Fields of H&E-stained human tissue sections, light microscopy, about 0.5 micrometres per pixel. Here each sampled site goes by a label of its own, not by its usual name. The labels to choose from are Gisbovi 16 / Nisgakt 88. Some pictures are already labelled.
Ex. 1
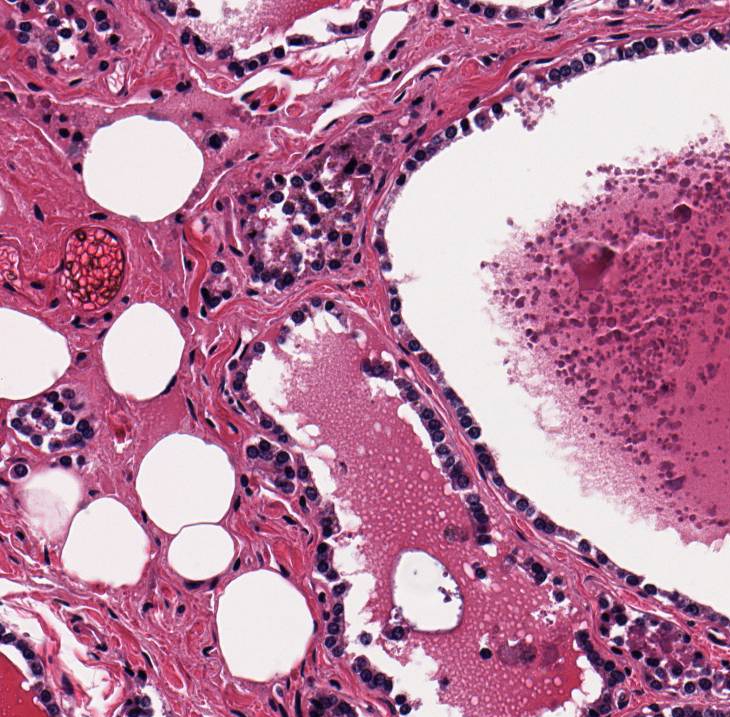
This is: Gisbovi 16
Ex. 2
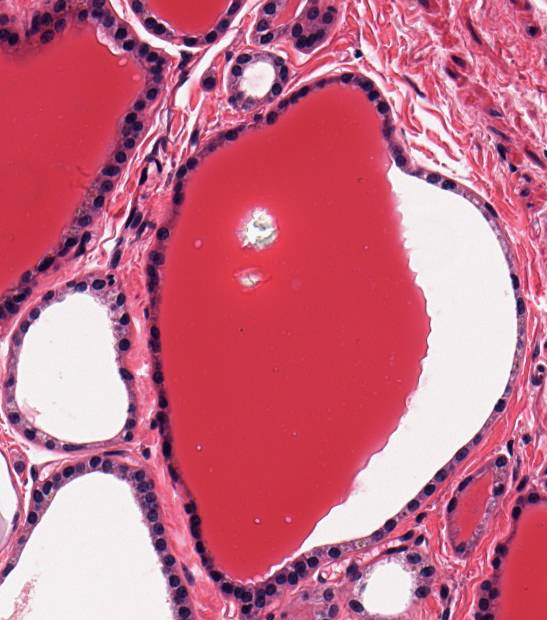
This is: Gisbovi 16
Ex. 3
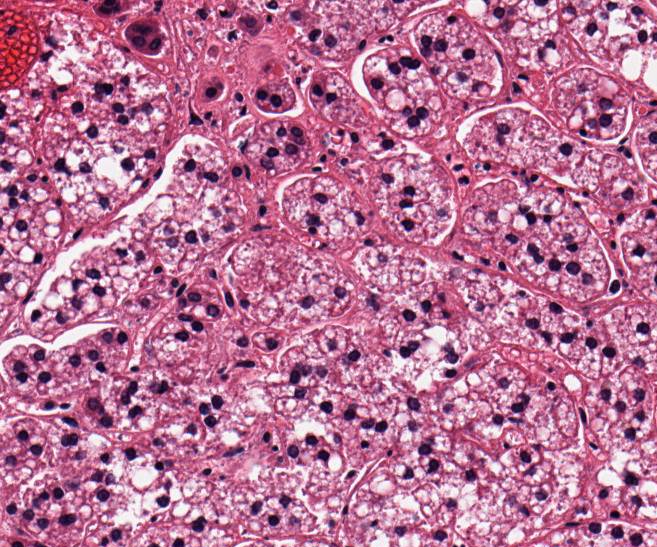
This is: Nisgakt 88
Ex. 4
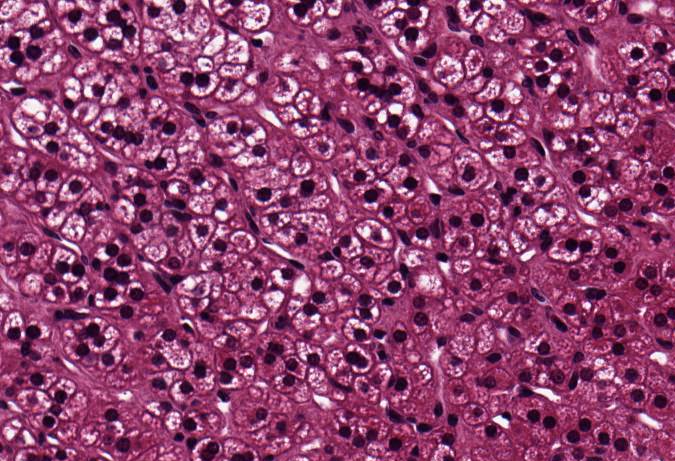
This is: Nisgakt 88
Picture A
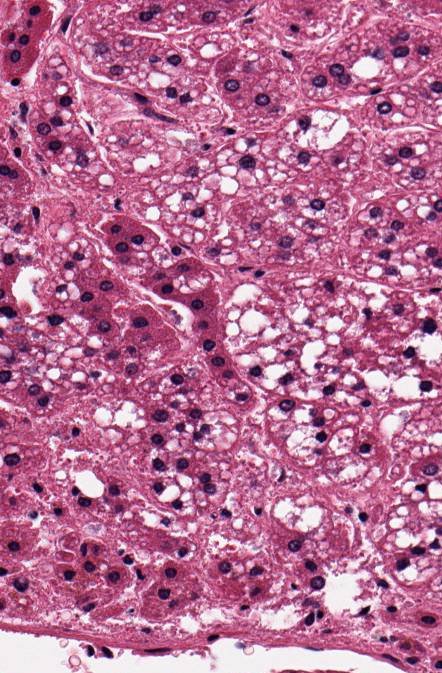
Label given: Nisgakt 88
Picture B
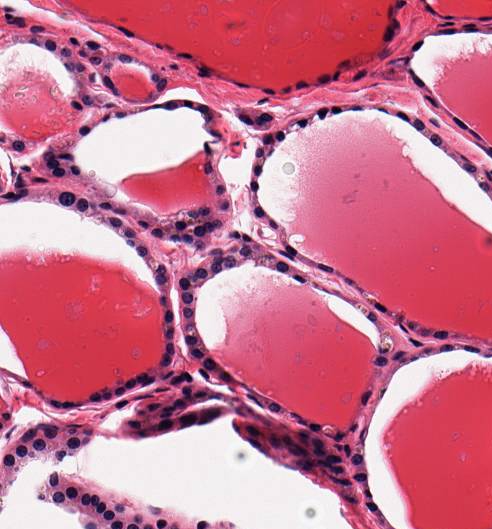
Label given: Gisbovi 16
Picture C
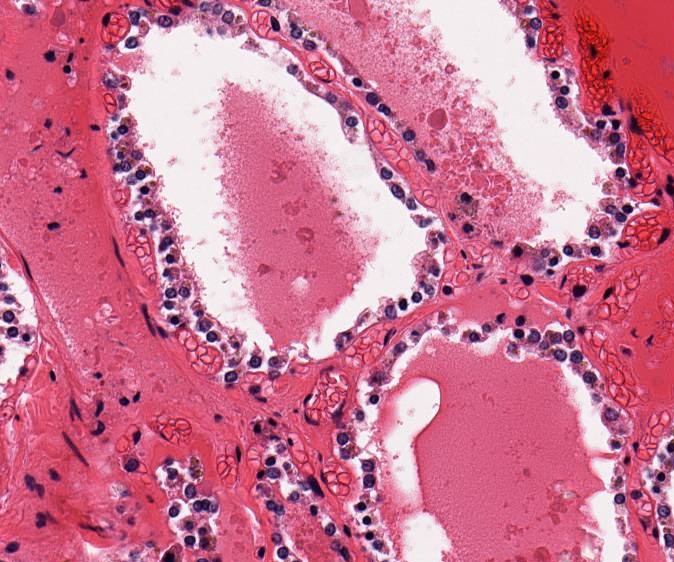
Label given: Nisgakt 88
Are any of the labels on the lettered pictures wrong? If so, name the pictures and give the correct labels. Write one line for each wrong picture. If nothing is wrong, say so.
C: not Nisgakt 88 but Gisbovi 16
